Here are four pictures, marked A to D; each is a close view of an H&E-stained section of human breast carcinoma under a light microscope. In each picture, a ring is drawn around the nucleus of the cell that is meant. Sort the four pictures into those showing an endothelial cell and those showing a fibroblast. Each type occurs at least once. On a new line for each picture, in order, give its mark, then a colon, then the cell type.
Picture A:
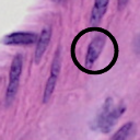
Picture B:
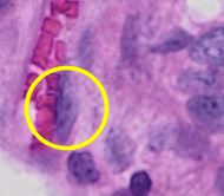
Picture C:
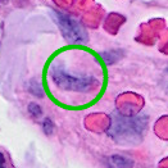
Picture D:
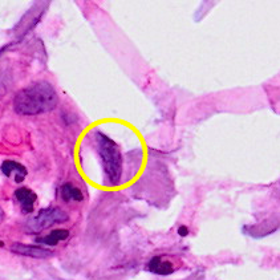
A: endothelial cell
B: endothelial cell
C: endothelial cell
D: fibroblast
